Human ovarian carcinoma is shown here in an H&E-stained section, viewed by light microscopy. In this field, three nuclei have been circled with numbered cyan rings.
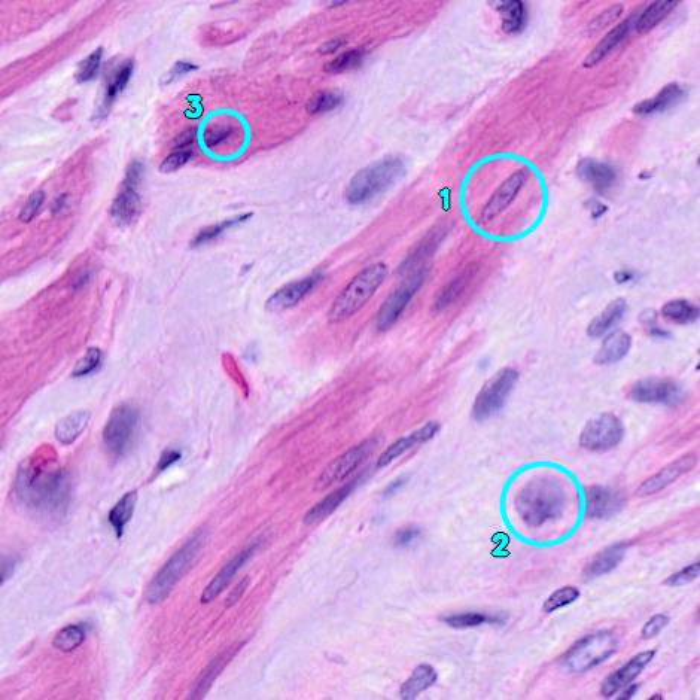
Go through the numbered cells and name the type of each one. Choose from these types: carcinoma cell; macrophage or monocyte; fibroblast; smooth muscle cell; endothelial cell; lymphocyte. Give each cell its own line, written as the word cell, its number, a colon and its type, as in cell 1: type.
cell 1: smooth muscle cell
cell 2: fibroblast
cell 3: smooth muscle cell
